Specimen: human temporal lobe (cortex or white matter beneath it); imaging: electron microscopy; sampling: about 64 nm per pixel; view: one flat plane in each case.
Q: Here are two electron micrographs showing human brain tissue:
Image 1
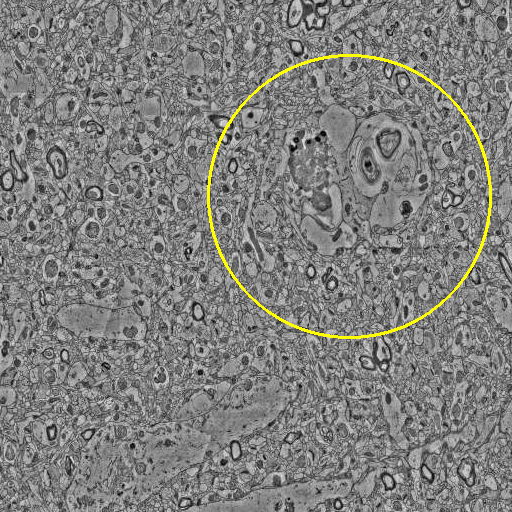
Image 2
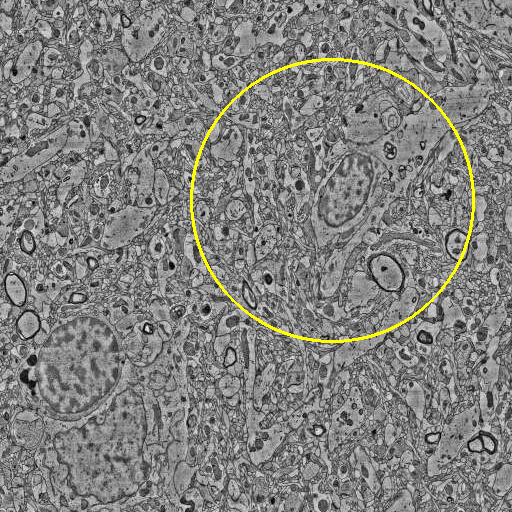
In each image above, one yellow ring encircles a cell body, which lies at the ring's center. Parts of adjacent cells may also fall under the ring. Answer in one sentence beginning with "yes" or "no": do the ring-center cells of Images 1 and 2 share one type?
Yes, in Images 1 and 2, the ring-center cells are both of one type.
